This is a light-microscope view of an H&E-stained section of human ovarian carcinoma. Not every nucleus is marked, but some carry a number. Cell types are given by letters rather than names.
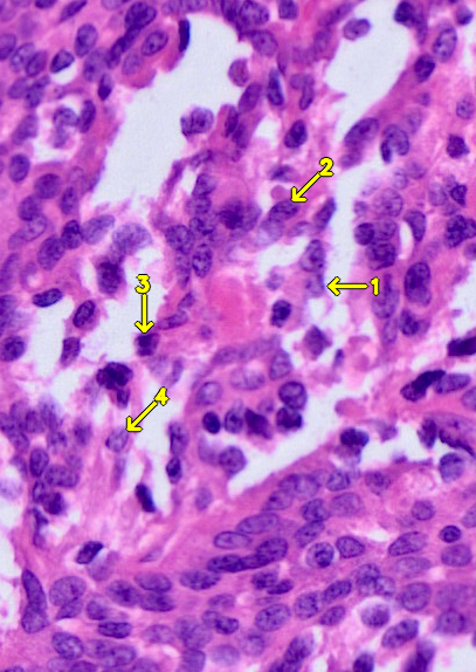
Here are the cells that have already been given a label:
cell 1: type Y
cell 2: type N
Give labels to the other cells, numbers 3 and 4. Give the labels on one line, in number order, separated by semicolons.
type N; type Y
